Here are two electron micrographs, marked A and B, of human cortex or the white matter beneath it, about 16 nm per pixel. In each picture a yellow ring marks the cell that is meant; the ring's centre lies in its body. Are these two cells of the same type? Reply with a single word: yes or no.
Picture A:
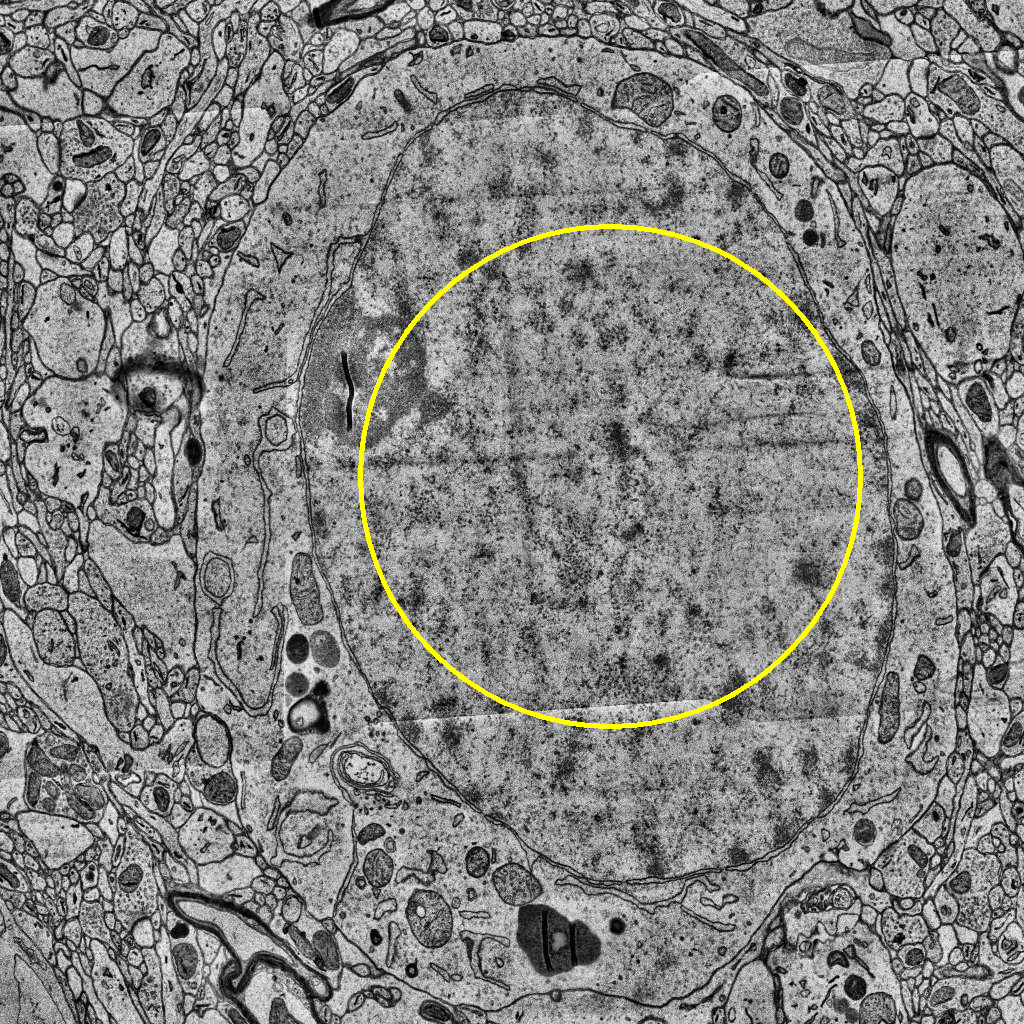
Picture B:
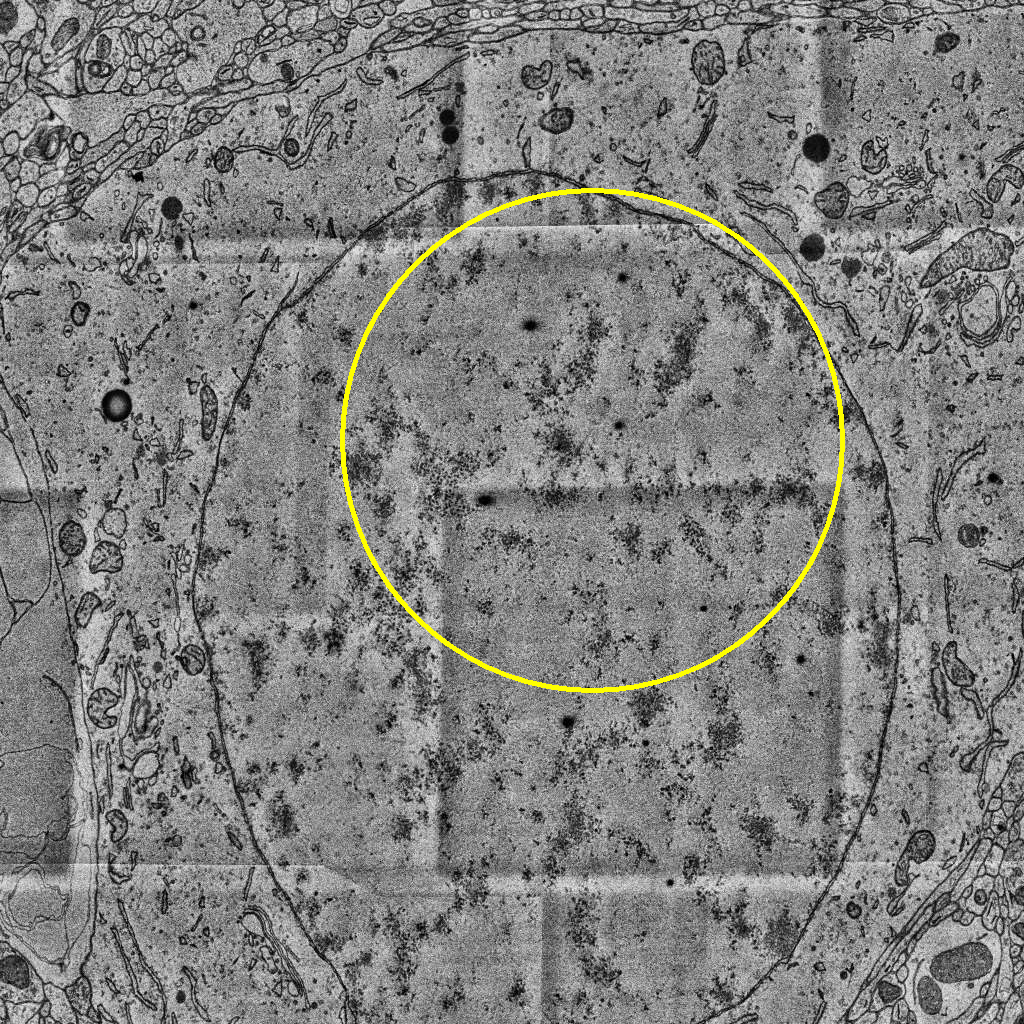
no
